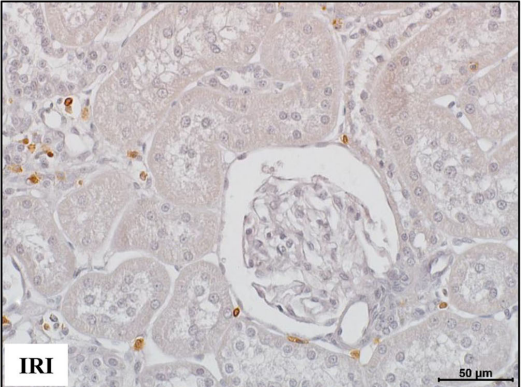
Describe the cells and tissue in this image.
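This is renal cortex, with a glomerulus in the middle right surrounded by a clear Bowman's space and many cross-sectioned tubules around it. The tubules are lined by cuboidal cells with pale pink, granular cytoplasm and round blue nuclei, and some lumens hold pale fluffy material.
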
